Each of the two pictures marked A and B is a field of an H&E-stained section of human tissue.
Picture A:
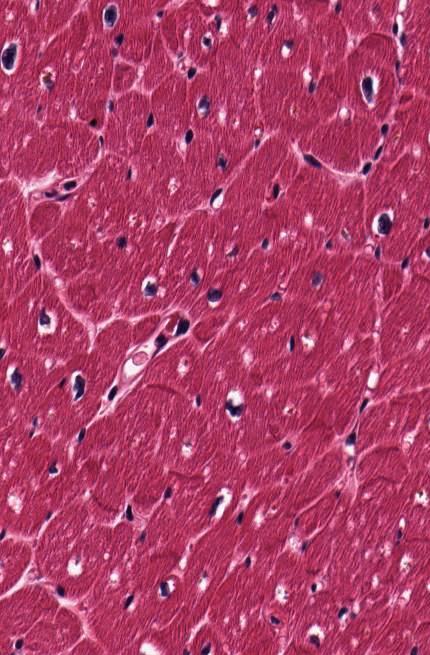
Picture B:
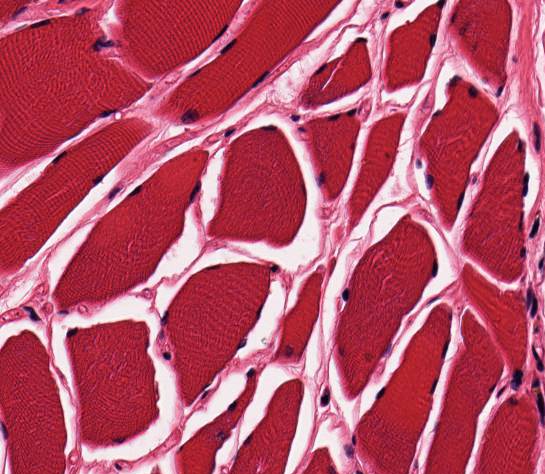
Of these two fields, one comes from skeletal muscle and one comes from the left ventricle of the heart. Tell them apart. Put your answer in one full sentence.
Picture A comes from the left ventricle of the heart; picture B comes from skeletal muscle.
